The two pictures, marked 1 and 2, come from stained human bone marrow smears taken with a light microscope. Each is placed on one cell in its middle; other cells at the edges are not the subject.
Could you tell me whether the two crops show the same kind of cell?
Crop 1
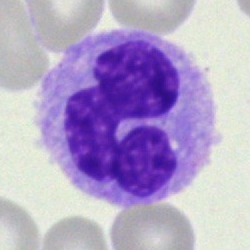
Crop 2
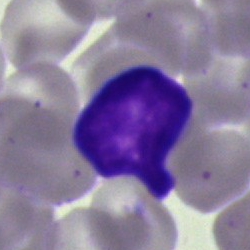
no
